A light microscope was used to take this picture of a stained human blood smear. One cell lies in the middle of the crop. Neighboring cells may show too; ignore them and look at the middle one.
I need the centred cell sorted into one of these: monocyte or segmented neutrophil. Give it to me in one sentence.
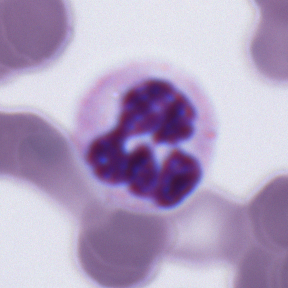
Looking at the middle of the crop, the cell there is a segmented neutrophil.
